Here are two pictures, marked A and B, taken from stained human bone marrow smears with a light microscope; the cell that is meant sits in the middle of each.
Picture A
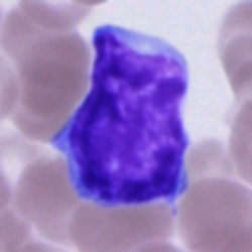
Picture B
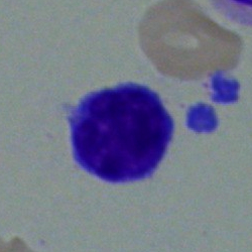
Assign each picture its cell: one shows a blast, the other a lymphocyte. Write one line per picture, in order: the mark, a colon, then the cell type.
A: blast
B: lymphocyte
